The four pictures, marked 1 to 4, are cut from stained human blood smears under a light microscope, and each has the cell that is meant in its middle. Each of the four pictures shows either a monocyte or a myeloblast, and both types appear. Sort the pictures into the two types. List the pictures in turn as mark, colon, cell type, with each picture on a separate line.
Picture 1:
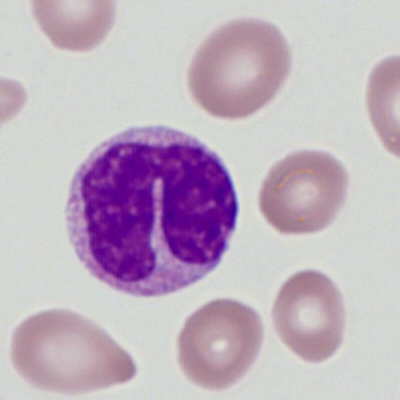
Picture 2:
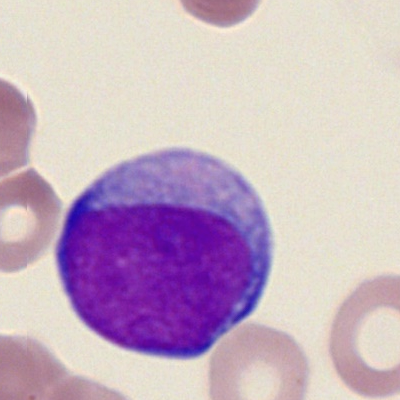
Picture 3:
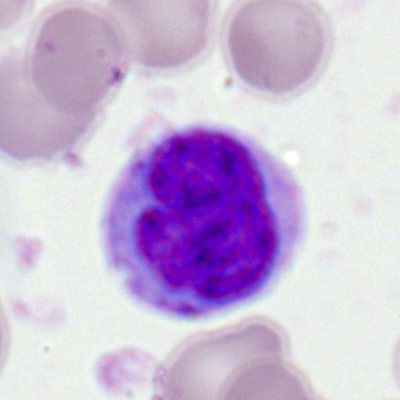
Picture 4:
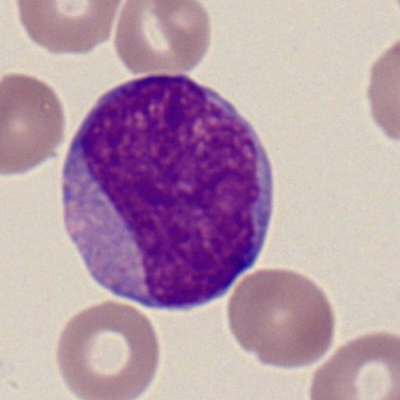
1: monocyte
2: myeloblast
3: monocyte
4: myeloblast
